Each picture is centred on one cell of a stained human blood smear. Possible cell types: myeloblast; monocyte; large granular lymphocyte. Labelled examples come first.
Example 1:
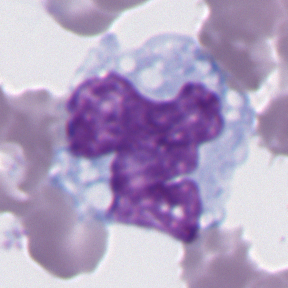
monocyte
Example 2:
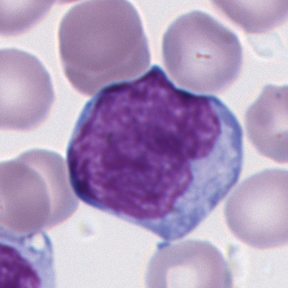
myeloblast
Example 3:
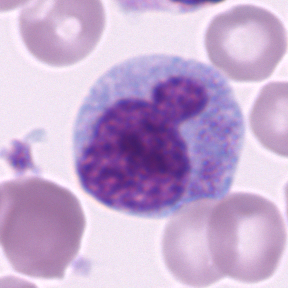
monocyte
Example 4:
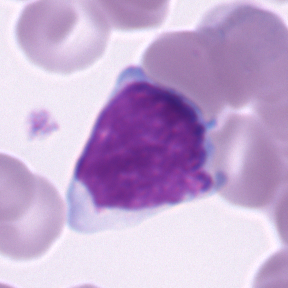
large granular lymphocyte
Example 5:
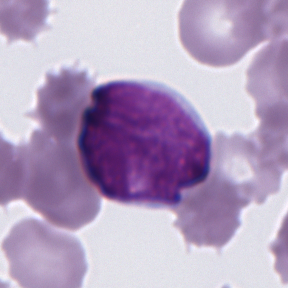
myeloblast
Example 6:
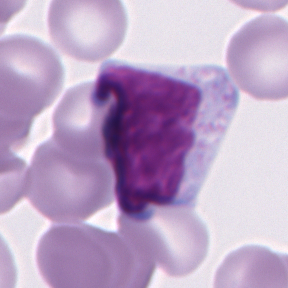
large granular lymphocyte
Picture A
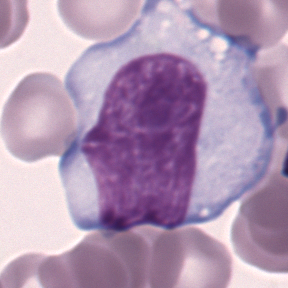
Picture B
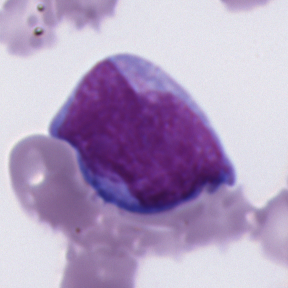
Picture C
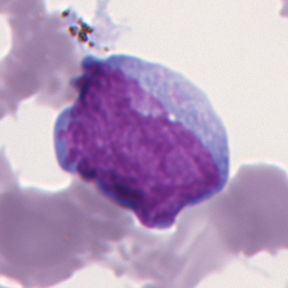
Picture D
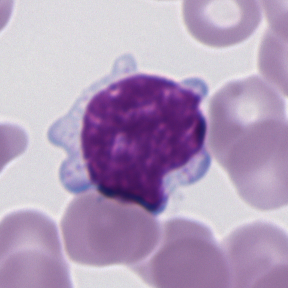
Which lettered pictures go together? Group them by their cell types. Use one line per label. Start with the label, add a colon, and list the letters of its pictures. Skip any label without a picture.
myeloblast: A, B, C
large granular lymphocyte: D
